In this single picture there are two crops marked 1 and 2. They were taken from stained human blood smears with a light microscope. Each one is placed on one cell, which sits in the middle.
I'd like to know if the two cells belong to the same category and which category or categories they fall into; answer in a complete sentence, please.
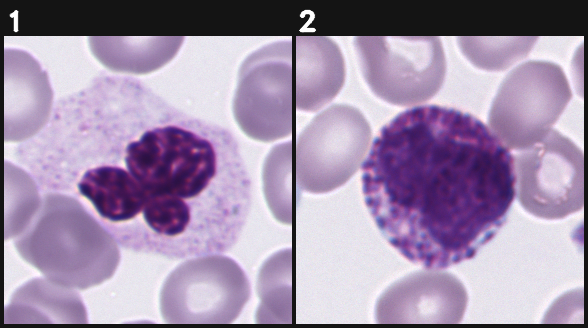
No, crop 1 depicts a neutrophil, and crop 2 depicts a basophil.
